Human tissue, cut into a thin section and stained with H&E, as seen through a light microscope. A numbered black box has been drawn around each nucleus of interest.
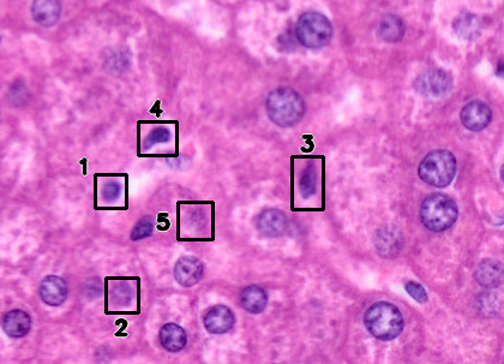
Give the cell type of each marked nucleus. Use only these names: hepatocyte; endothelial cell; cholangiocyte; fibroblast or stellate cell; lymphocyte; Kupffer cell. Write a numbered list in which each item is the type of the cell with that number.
1. lymphocyte
2. hepatocyte
3. endothelial cell
4. lymphocyte
5. hepatocyte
